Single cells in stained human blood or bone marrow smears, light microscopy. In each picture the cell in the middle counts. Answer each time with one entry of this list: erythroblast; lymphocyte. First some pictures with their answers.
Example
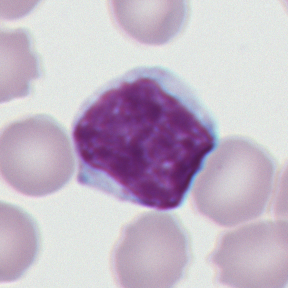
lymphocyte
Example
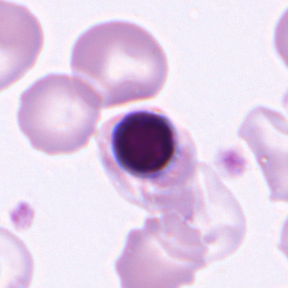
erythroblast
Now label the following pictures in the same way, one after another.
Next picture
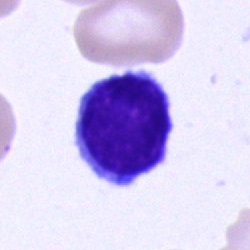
lymphocyte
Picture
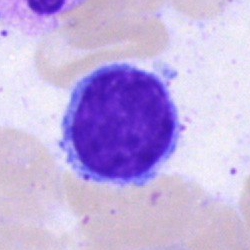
lymphocyte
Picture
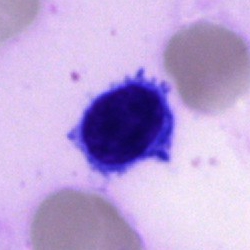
lymphocyte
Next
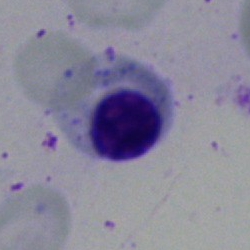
erythroblast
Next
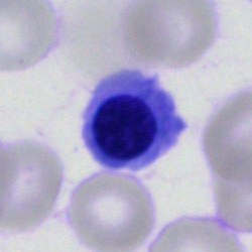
erythroblast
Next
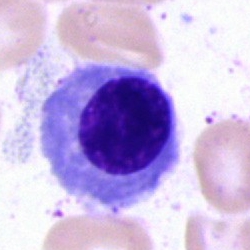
erythroblast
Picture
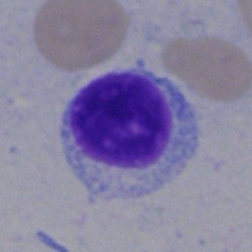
lymphocyte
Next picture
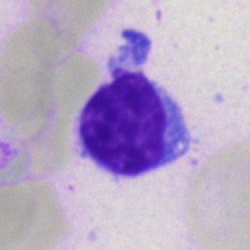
lymphocyte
